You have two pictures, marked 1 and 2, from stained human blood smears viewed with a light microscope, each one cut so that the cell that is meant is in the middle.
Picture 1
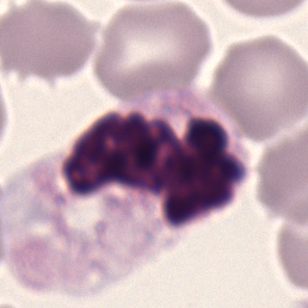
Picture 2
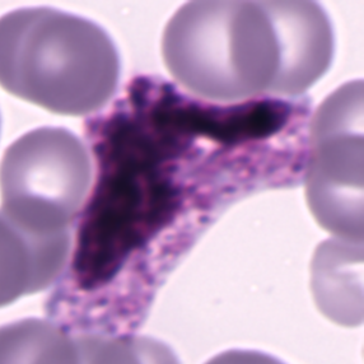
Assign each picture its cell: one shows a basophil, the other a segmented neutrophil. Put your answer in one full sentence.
Picture 1 is of a segmented neutrophil, and picture 2 is of a basophil.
